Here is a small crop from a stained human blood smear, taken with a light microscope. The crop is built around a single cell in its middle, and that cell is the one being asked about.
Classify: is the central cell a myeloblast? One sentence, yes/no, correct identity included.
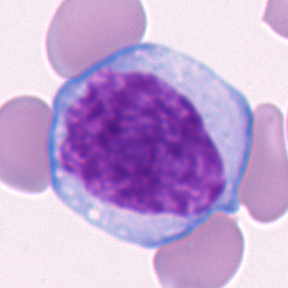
Yes, the cell found in the middle is a myeloblast.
